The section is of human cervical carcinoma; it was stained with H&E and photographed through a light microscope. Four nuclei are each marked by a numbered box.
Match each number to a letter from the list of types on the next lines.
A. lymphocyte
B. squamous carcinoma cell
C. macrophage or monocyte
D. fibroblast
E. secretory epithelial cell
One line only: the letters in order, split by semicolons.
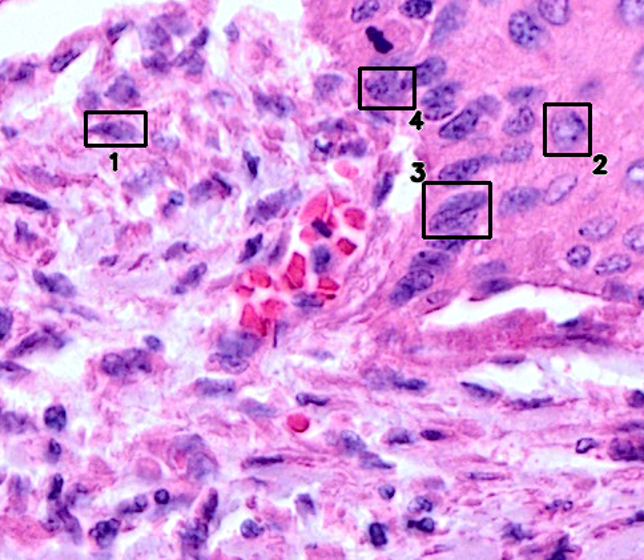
D; B; B; B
